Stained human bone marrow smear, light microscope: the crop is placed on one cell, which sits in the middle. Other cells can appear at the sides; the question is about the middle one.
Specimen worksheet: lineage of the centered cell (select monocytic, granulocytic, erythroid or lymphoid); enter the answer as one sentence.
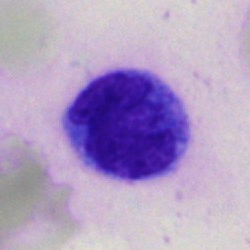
The cell in the middle of the crop belongs to the monocytic lineage.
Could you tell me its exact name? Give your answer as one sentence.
Here the cell in the middle is a monocyte.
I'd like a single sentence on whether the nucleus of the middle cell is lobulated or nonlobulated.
The nuclear material is gathered into one compact round, oval or kidney-shaped mass.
